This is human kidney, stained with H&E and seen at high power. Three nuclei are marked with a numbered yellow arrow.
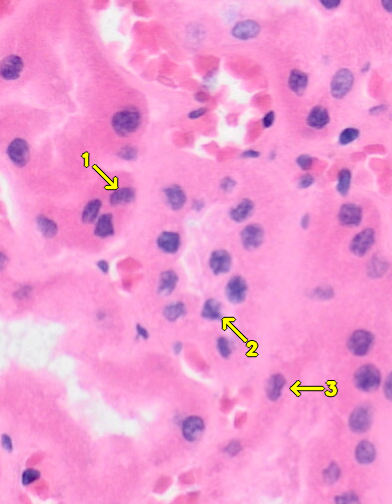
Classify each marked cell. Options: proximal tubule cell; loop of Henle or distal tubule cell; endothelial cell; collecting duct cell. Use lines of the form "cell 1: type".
cell 1: proximal tubule cell
cell 2: loop of Henle or distal tubule cell
cell 3: proximal tubule cell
